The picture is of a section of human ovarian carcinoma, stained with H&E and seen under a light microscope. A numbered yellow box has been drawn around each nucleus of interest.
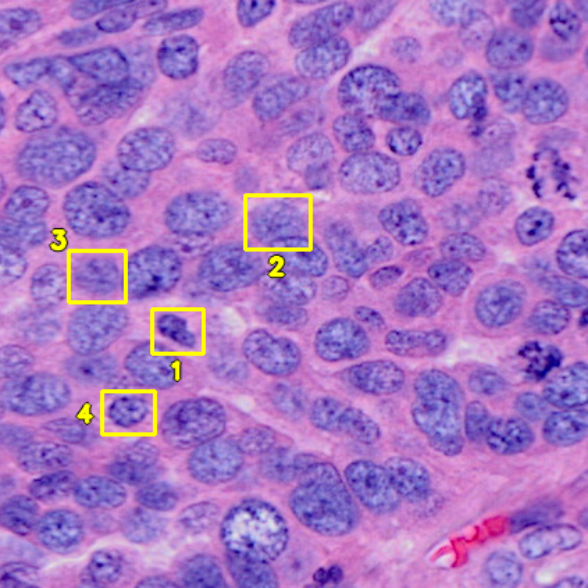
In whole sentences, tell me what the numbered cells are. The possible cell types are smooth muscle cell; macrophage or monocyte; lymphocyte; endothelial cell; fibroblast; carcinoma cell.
Cells 1 and 4 are macrophages or monocytes. Cells 2 and 3 are carcinoma cells.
